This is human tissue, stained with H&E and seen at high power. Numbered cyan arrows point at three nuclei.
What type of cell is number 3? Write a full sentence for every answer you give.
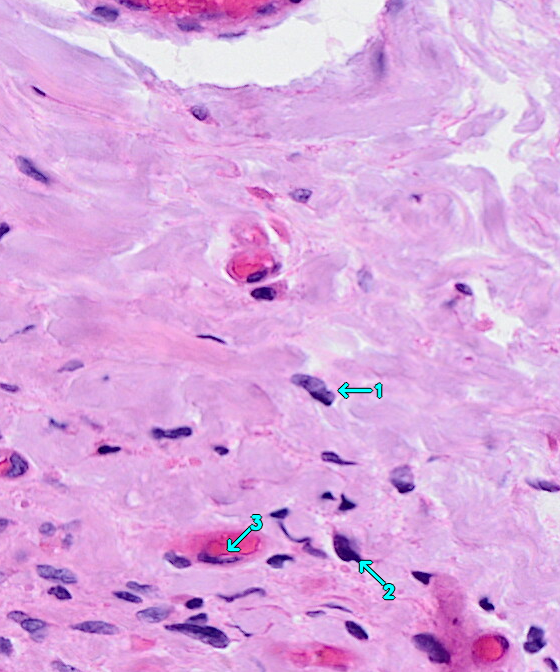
The one numbered 3 among the marked cells is an endothelial cell.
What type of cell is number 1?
The nucleus labeled 1 belongs to a fibroblast.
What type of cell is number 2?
The cell tagged with 2 in this tissue section is a fibroblast.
